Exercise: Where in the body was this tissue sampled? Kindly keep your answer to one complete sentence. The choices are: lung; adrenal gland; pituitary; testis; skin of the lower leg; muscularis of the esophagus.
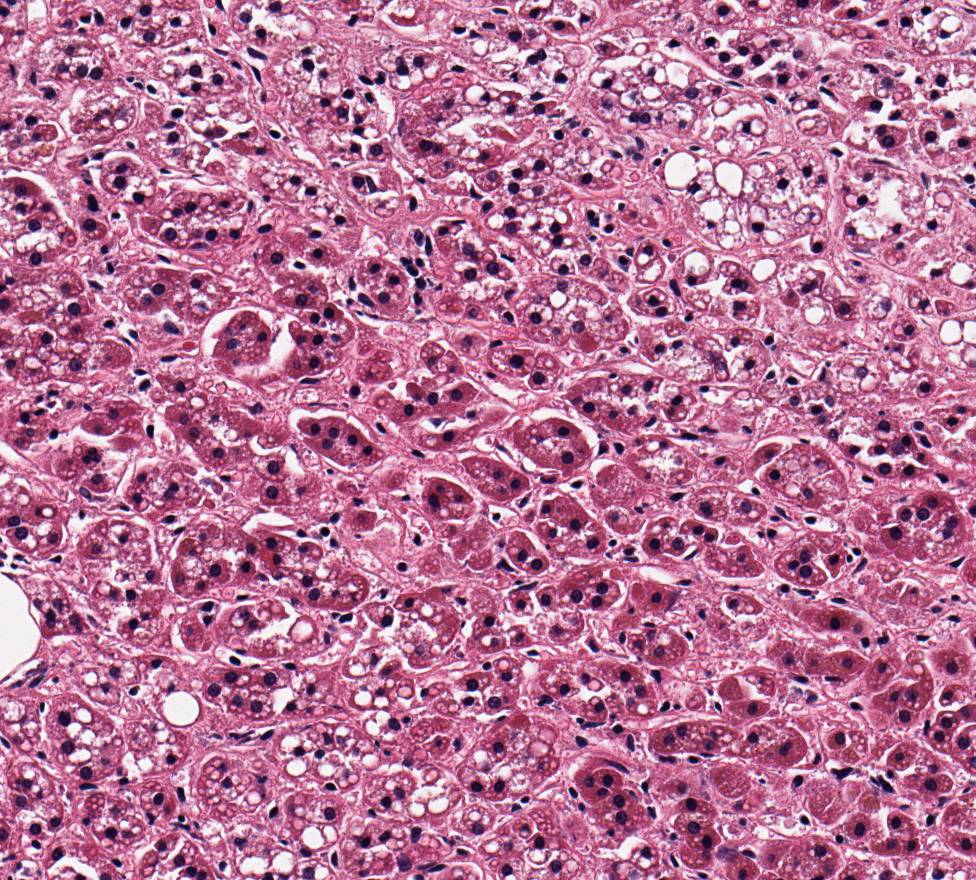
This specimen was obtained from the adrenal gland.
